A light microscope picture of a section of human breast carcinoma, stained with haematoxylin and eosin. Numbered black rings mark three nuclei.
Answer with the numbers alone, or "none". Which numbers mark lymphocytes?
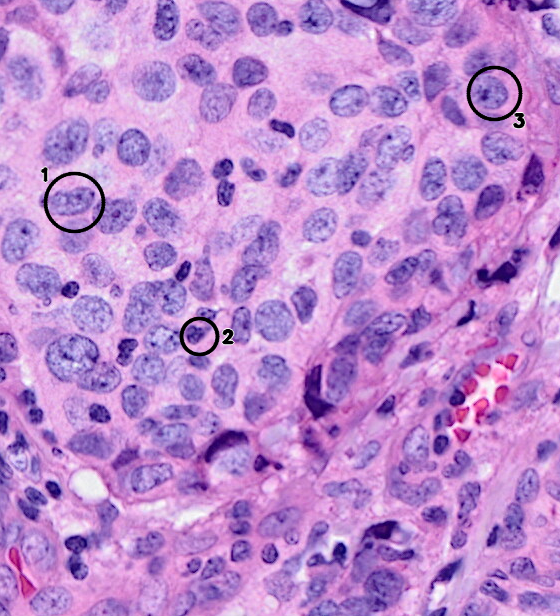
2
